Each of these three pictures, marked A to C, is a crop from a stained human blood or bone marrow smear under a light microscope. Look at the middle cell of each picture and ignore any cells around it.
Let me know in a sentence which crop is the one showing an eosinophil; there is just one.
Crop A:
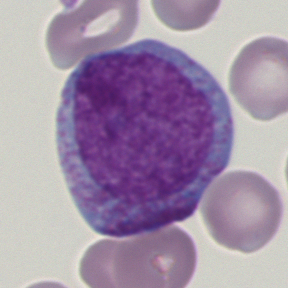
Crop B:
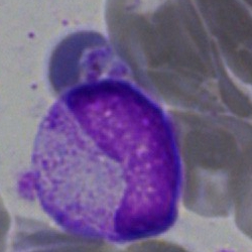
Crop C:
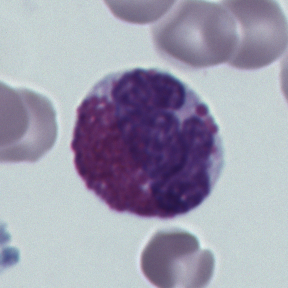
Crop C is the crop whose central cell is an eosinophil.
